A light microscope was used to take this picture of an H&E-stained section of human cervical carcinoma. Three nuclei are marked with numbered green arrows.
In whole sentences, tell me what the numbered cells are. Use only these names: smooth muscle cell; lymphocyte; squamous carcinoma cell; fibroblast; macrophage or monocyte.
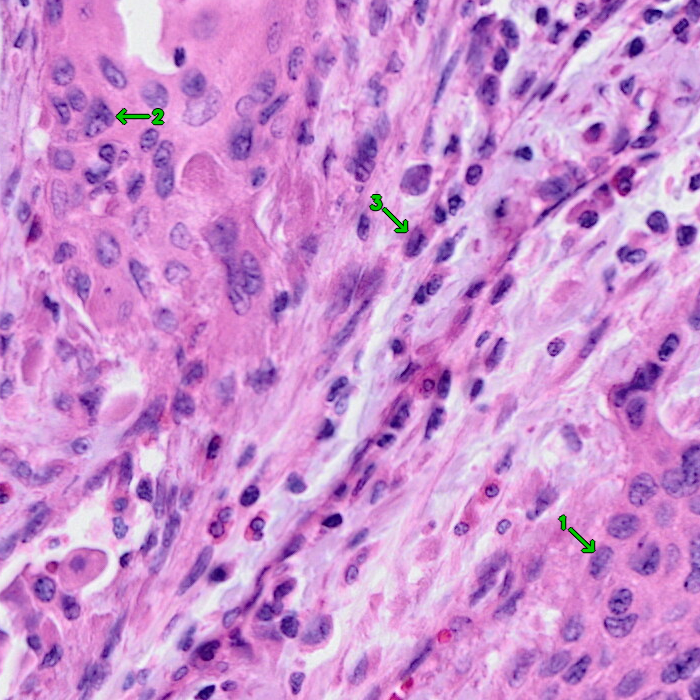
Cell 1 is a squamous carcinoma cell, cell 2 is a squamous carcinoma cell and cell 3 is a macrophage or monocyte.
